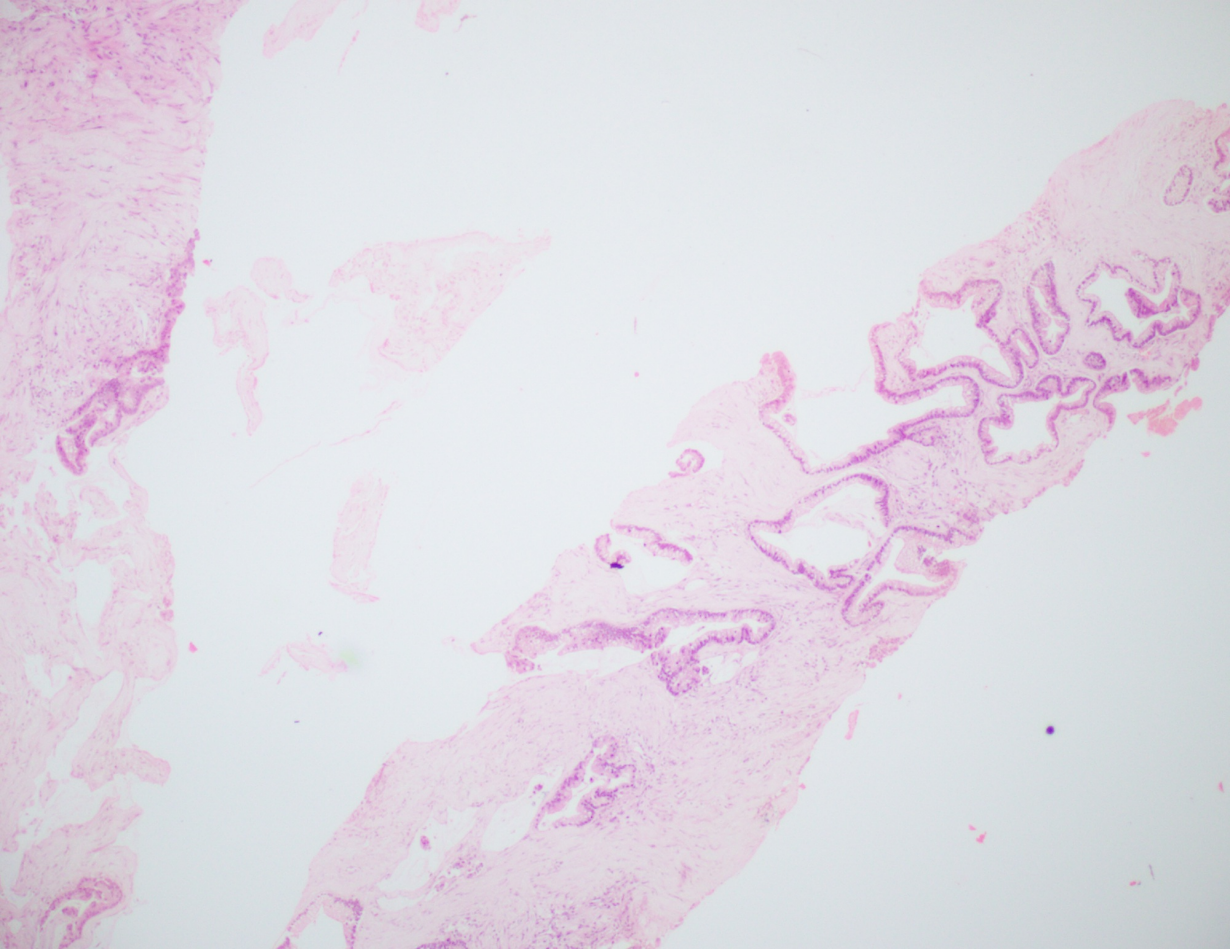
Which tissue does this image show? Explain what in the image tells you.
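Fibrocollagenous tissue. Elongated strips of tissue run diagonally across the field. The background tissue is pale pink and fibrous, with few scattered nuclei.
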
